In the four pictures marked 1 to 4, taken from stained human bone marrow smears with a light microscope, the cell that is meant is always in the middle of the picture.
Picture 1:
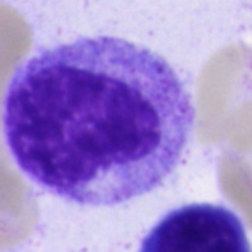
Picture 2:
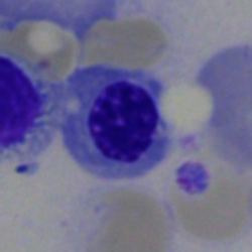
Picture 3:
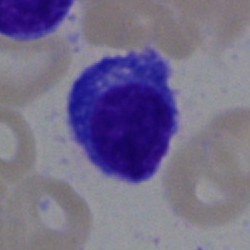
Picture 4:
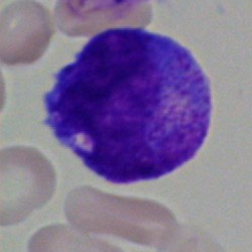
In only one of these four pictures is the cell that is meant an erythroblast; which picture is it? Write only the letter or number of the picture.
2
